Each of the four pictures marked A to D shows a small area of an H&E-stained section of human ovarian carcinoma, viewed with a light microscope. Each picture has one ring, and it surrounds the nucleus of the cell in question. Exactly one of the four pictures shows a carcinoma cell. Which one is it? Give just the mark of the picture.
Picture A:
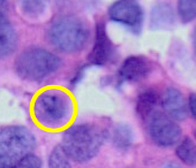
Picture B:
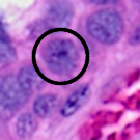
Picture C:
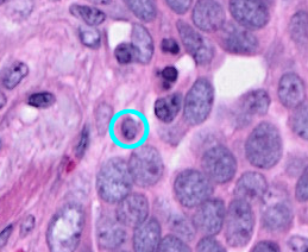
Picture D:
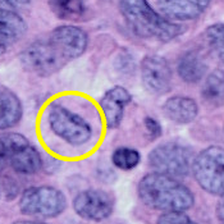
B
